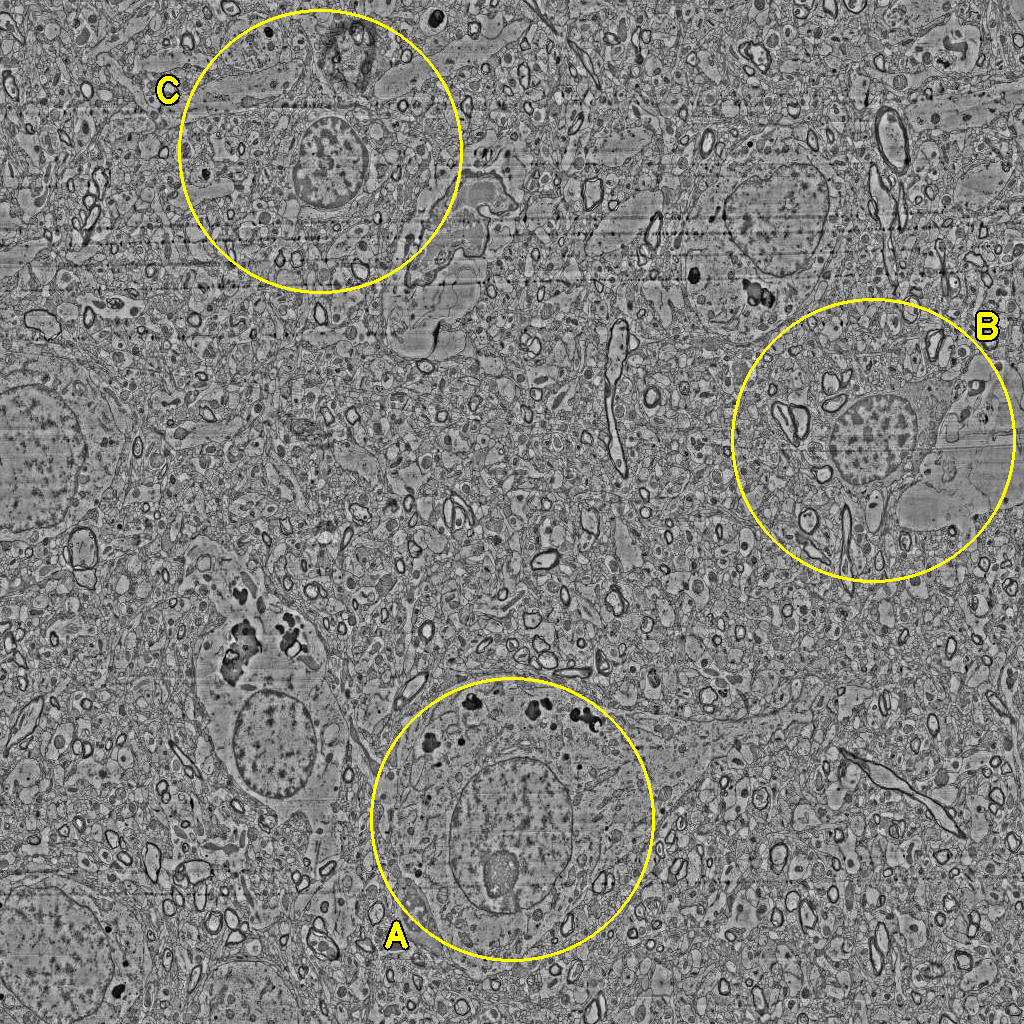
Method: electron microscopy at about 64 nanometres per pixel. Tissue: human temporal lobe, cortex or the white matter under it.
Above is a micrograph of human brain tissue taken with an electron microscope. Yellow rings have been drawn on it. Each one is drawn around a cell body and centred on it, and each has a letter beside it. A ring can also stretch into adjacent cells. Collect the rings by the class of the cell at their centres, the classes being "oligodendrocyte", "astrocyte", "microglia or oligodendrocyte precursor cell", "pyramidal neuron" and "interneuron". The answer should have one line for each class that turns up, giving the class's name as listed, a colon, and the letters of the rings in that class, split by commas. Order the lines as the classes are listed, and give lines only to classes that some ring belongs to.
oligodendrocyte: B
microglia or oligodendrocyte precursor cell: C
pyramidal neuron: A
